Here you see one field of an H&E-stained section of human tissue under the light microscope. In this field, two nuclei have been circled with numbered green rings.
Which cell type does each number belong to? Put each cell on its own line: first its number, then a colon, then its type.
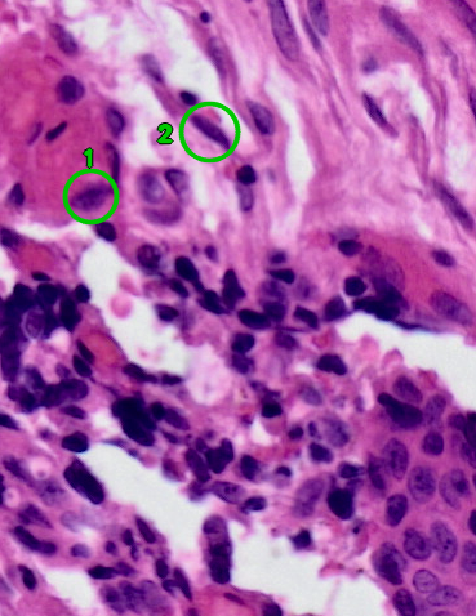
1: endothelial cell
2: fibroblast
